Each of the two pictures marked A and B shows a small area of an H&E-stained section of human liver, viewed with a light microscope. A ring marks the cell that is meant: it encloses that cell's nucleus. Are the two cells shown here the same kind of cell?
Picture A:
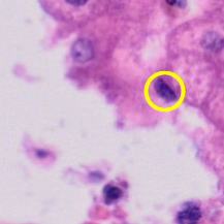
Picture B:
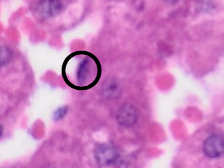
yes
